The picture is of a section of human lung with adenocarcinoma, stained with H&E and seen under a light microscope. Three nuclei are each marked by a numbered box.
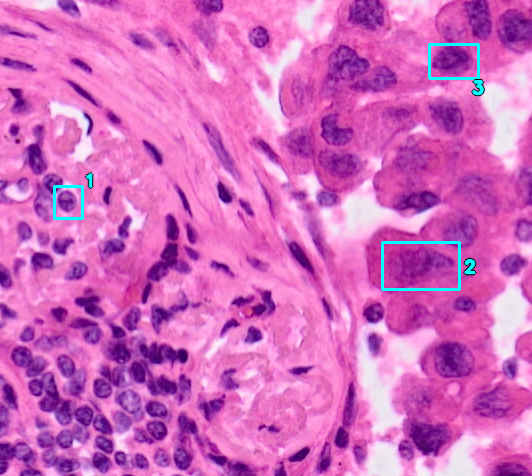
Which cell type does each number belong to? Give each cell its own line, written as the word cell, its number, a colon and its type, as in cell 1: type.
cell 1: lymphocyte
cell 2: carcinoma cell
cell 3: carcinoma cell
